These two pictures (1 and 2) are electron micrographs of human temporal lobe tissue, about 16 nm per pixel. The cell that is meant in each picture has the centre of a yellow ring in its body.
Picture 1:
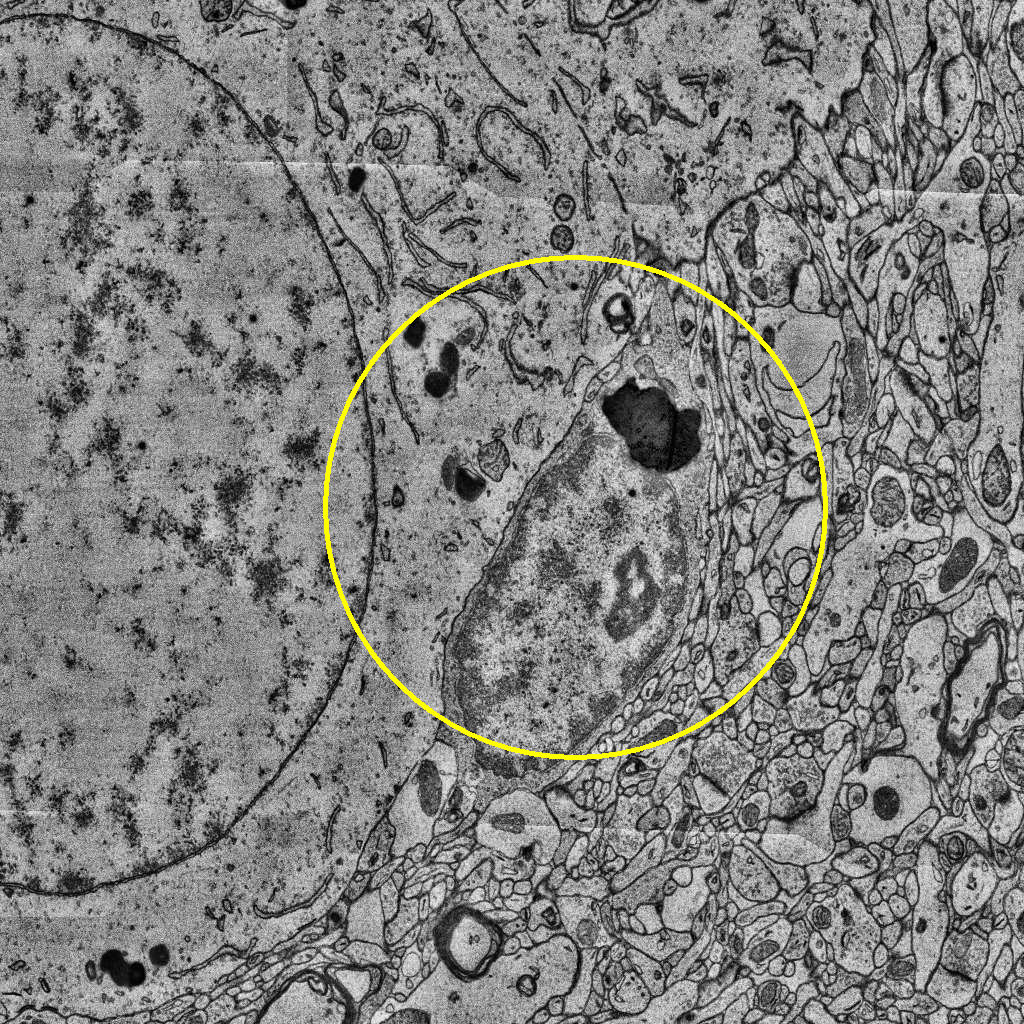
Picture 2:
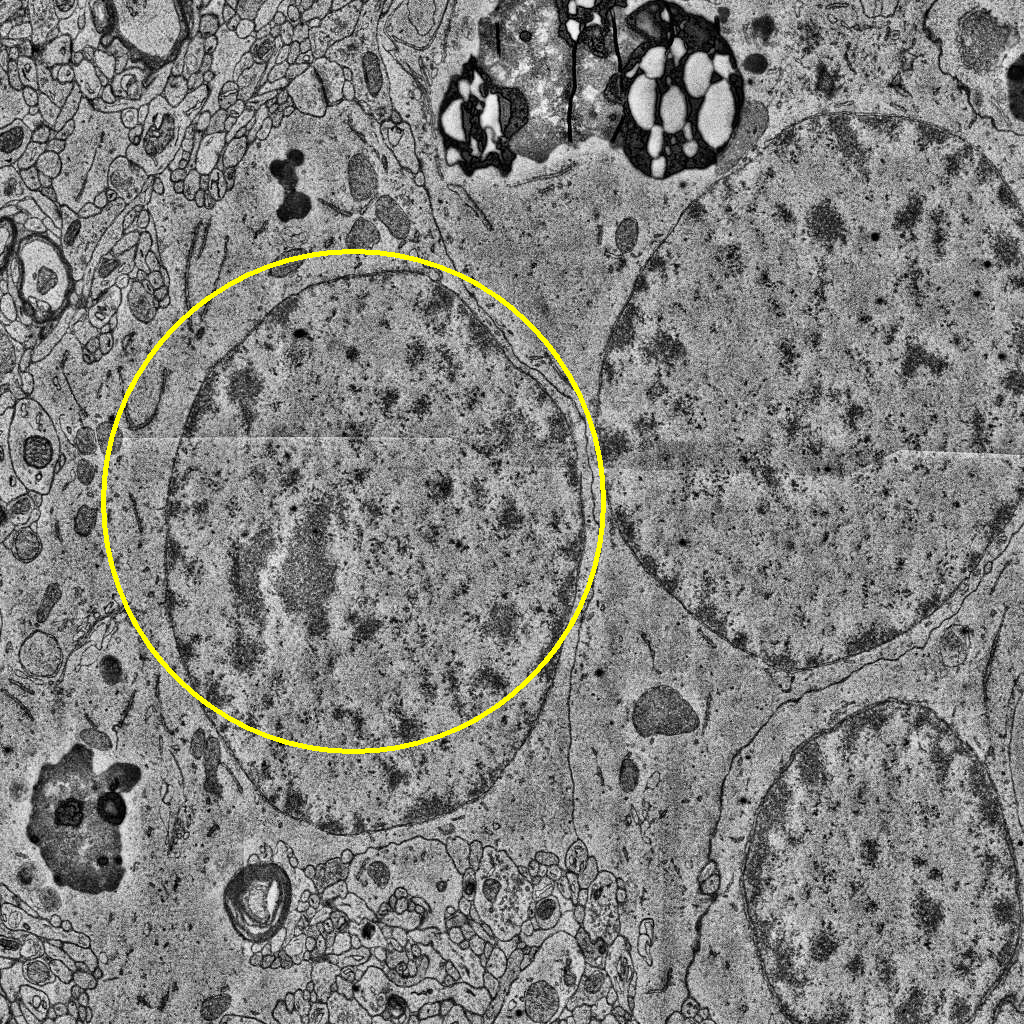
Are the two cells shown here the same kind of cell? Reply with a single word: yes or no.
no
